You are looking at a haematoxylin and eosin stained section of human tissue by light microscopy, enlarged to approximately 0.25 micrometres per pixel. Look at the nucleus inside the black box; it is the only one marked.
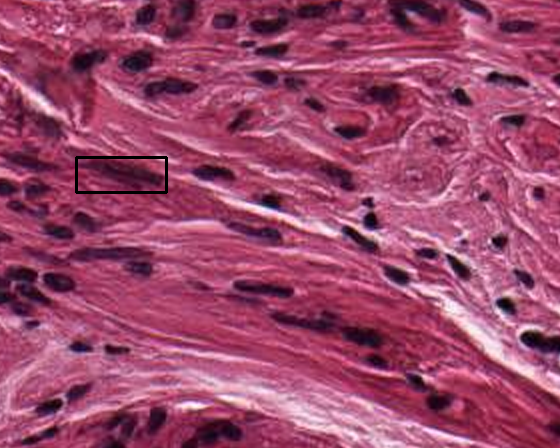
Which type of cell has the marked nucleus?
smooth muscle cell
